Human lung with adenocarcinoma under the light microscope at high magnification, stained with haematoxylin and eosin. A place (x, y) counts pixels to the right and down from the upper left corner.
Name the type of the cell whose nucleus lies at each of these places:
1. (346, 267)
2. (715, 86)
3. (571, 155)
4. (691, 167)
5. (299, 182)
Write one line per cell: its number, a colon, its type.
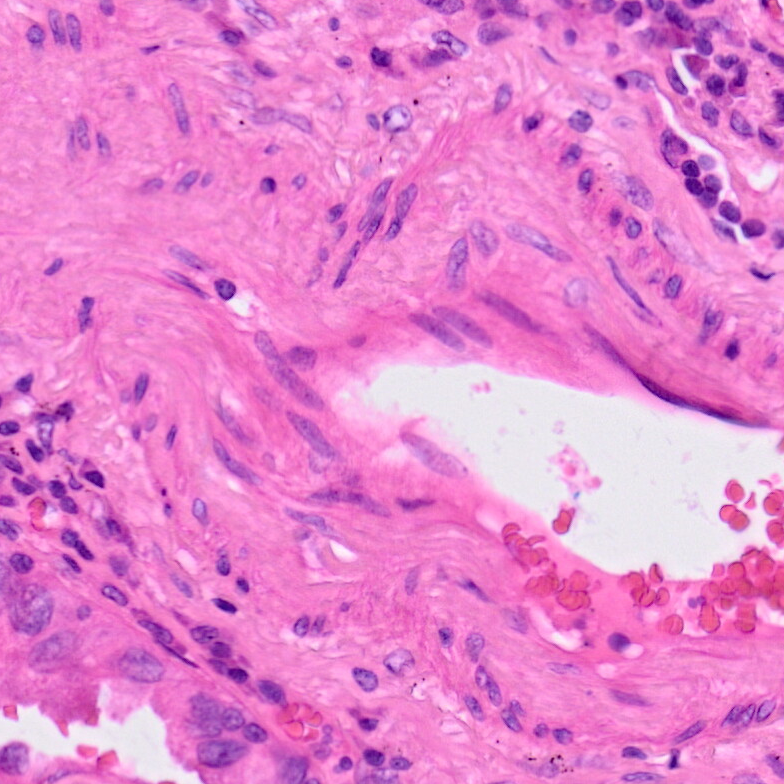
1: smooth muscle cell or pericyte
2: plasma cell
3: smooth muscle cell or pericyte
4: lymphocyte
5: smooth muscle cell or pericyte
